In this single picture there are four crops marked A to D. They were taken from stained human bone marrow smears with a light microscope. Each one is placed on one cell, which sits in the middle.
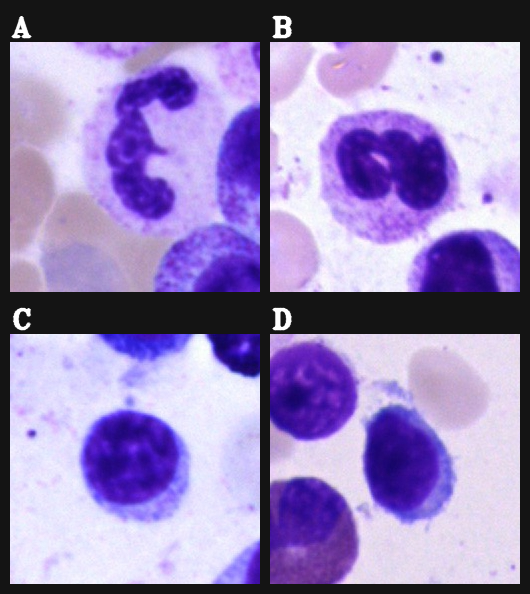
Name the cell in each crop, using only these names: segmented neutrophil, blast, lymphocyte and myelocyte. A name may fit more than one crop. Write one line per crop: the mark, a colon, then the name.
A: segmented neutrophil
B: segmented neutrophil
C: lymphocyte
D: lymphocyte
